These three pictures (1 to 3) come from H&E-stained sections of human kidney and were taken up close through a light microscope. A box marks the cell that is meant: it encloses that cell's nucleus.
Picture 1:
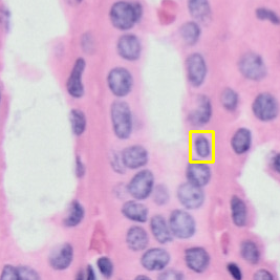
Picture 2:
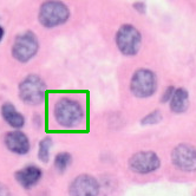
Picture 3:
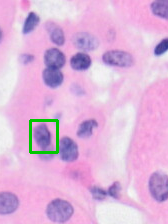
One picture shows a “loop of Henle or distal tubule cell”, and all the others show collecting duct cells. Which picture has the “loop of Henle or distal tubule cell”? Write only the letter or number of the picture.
2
